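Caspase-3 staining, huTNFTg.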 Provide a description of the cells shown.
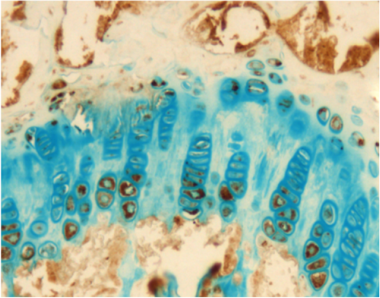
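Growth plate cartilage with chondrocytes in lacunae, set in a blue-stained matrix and arranged in longitudinal columns. Some cells carry brown staining, while others remain pale. Brown-stained tissue lies at the upper and lower edges of the cartilage.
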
